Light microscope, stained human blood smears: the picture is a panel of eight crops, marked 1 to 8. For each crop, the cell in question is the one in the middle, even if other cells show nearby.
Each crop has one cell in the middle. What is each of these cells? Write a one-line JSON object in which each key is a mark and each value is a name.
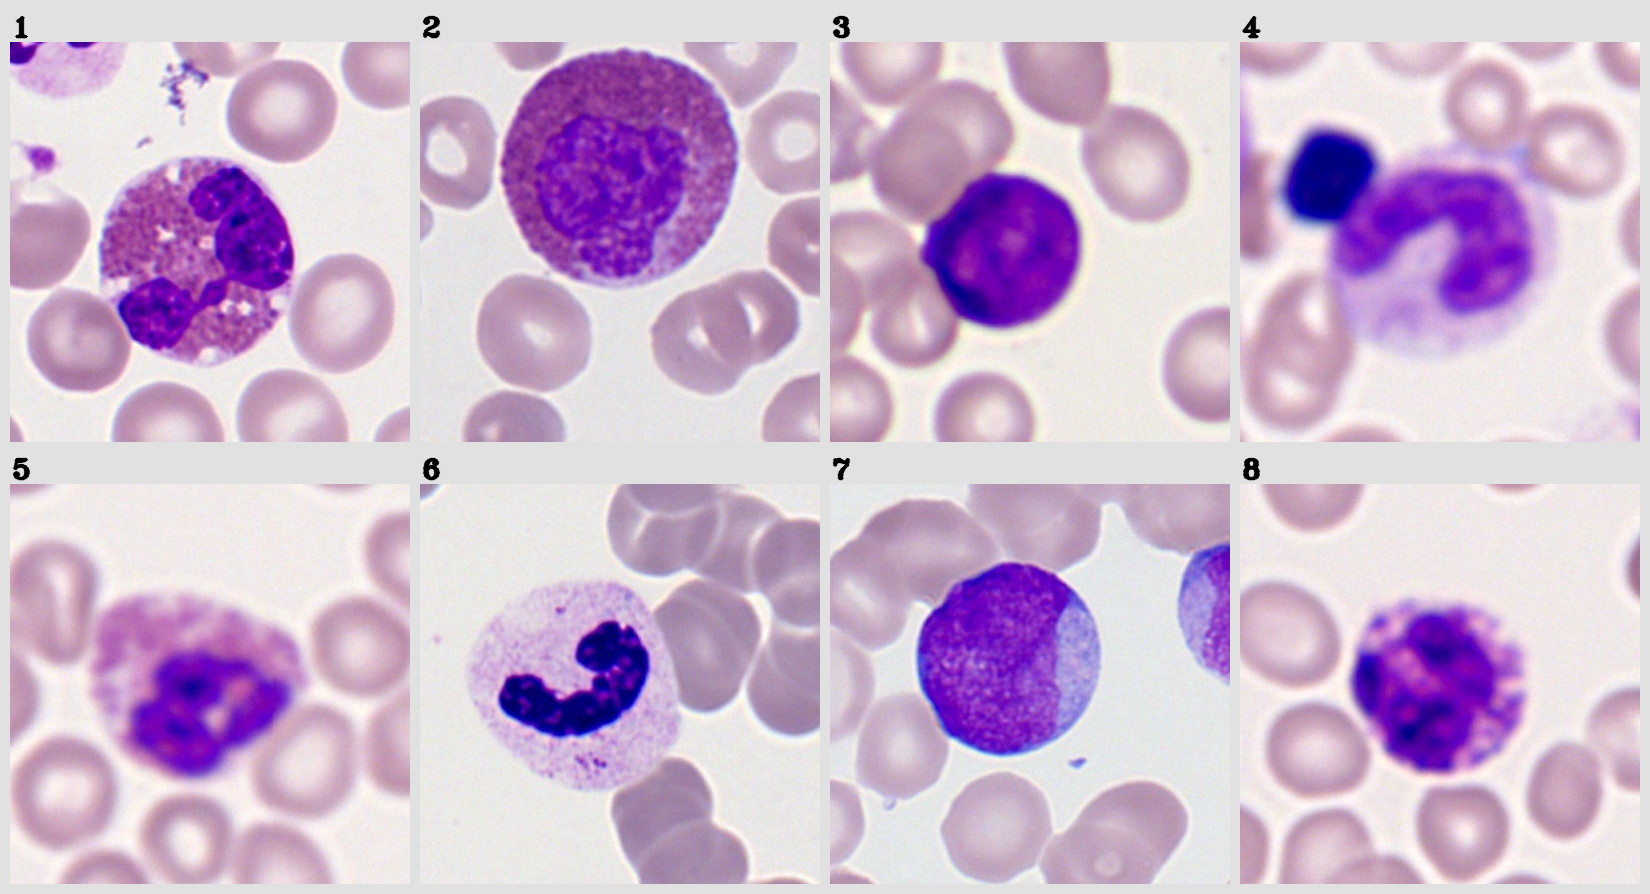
{"1": "eosinophil", "2": "eosinophil", "3": "myeloblast", "4": "band neutrophil", "5": "eosinophil", "6": "band neutrophil", "7": "myeloblast", "8": "basophil"}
